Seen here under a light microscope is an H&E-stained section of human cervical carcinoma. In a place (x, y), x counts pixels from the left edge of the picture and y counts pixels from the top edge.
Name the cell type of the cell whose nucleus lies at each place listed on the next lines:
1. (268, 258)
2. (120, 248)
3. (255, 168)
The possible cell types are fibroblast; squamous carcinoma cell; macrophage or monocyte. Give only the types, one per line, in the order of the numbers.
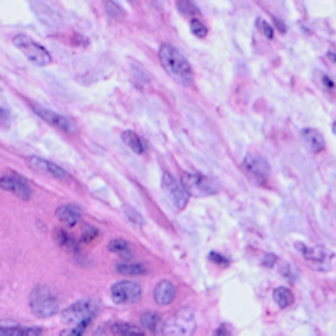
fibroblast
squamous carcinoma cell
fibroblast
